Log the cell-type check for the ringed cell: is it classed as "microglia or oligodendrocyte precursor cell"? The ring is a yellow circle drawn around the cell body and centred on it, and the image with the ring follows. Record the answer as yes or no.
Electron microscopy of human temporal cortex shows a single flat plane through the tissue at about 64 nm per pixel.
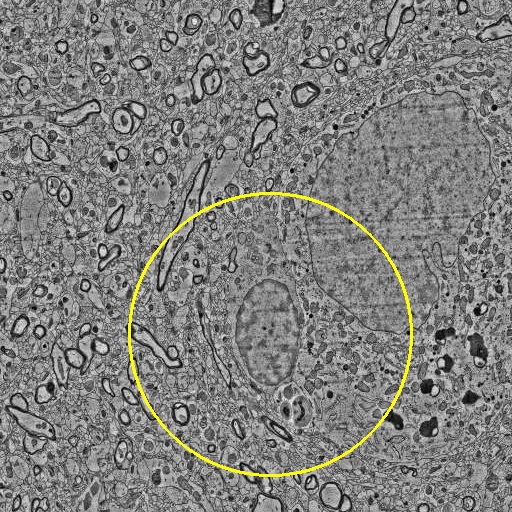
Yes, it is classed that way.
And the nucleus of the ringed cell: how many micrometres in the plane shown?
At approximately 7 by 4 micrometres, the nucleus is clearly longer than it is wide in this plane.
